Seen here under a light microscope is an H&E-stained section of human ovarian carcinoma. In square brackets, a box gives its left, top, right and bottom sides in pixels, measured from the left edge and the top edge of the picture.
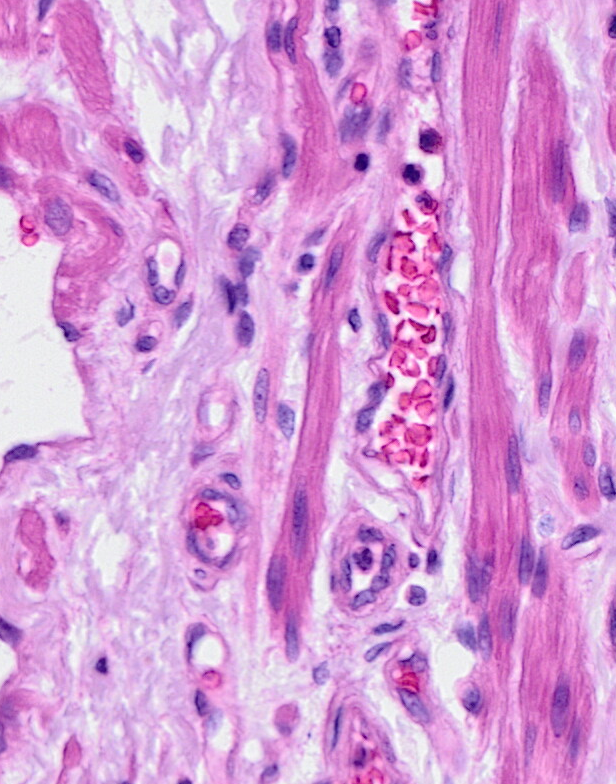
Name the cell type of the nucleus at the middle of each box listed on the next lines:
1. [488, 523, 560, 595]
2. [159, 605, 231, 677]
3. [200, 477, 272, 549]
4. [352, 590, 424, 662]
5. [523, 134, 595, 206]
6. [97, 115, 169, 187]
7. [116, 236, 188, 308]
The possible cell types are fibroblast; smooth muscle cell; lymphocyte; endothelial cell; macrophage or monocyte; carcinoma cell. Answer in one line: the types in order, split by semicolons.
smooth muscle cell; endothelial cell; endothelial cell; fibroblast; smooth muscle cell; smooth muscle cell; endothelial cell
